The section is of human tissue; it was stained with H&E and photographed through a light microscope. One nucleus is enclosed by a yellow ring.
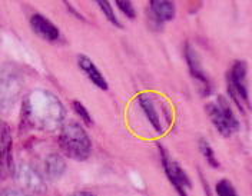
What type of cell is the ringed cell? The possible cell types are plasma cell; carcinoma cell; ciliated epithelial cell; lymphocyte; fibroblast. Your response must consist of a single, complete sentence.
With respect to cell type, the ringed cell is a fibroblast.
